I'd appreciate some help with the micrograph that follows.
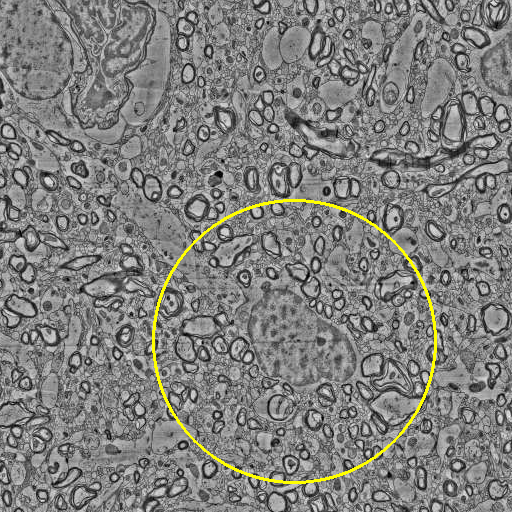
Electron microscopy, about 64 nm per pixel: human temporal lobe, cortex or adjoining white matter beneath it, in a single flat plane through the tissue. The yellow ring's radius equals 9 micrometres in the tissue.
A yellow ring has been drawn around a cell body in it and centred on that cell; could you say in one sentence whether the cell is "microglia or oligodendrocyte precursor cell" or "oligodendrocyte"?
It is an oligodendrocyte at the centre of the ring.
